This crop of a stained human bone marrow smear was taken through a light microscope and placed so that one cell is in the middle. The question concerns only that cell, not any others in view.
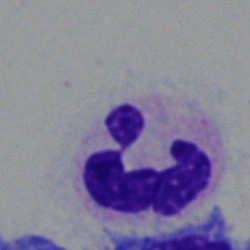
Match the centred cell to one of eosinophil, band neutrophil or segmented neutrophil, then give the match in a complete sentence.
The cell around which this crop is centred is a segmented neutrophil.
